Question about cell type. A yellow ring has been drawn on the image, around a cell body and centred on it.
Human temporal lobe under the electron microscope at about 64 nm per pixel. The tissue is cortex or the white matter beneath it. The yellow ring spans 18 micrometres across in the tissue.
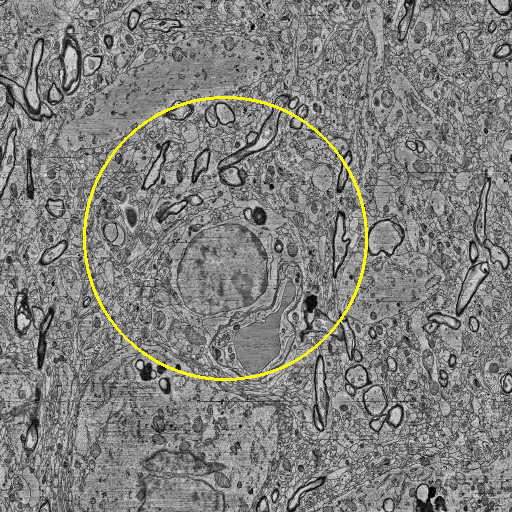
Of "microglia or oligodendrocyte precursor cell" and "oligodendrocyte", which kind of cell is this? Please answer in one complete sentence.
At the centre of the ring lies a microglial cell or oligodendrocyte precursor cell.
